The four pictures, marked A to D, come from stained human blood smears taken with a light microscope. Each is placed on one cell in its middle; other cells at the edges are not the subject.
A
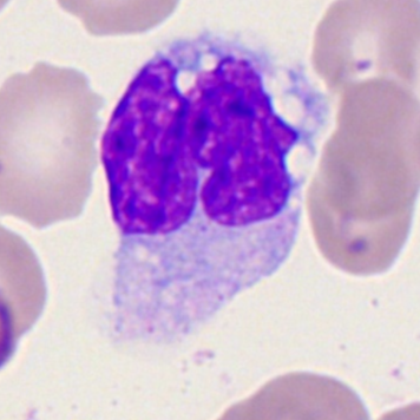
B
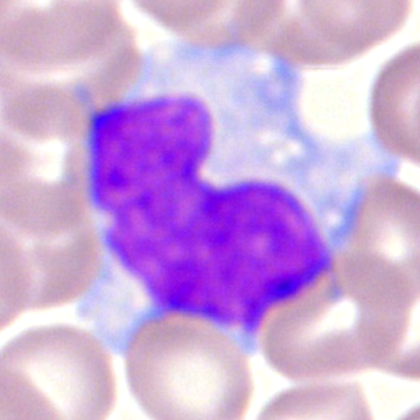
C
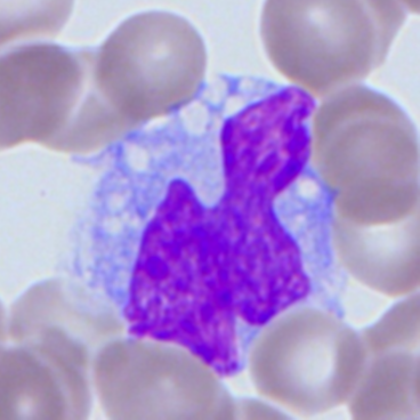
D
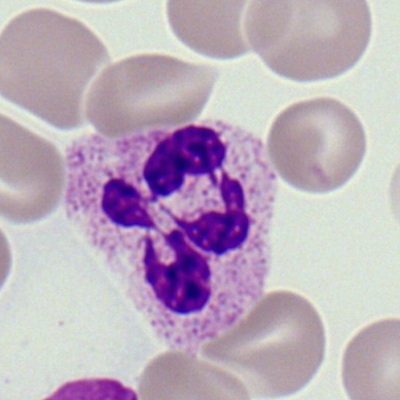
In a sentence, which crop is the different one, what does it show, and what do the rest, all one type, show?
The others are all monocytes; crop D is a segmented neutrophil.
